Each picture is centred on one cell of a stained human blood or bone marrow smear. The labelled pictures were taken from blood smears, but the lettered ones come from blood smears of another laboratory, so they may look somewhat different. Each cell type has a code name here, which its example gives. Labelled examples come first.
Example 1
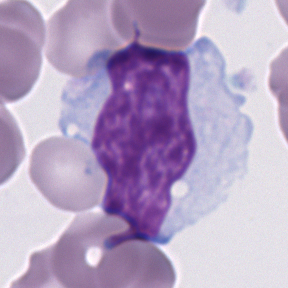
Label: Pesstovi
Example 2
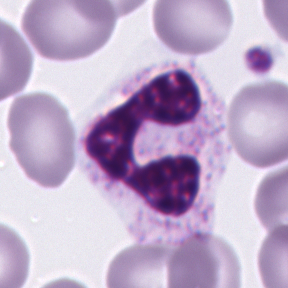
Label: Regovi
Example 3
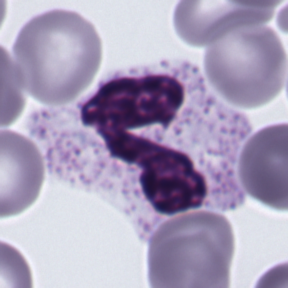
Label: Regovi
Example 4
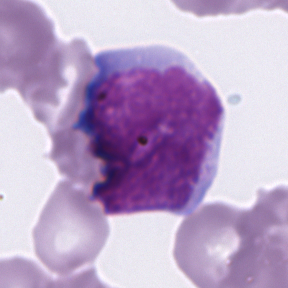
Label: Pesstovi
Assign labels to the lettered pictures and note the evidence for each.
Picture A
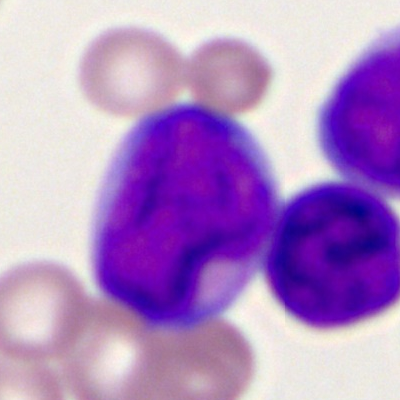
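Pesstovi. Evidence: The nucleus fills most of the cell.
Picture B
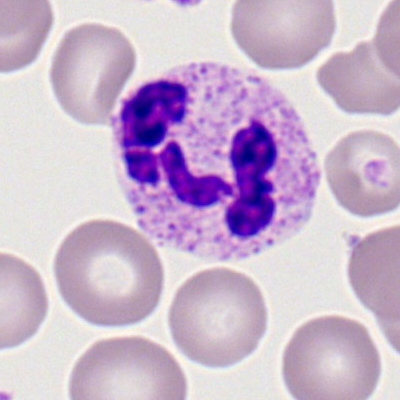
Regovi. Evidence: The cytoplasm is abundant and pale pinkish-lilac.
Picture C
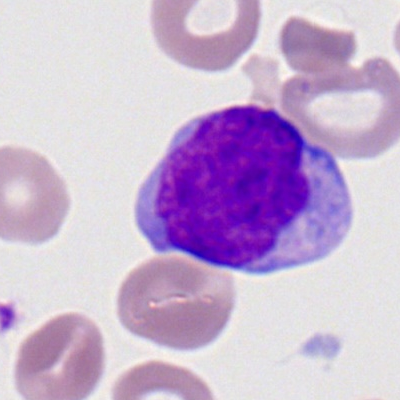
Pesstovi. Evidence: The nucleus fills most of the cell and sits toward the left side.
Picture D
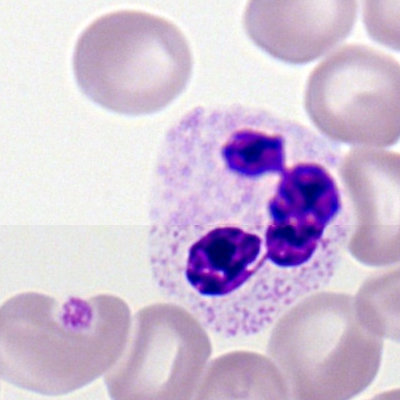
Regovi. Evidence: The cytoplasm is plentiful and pale pinkish.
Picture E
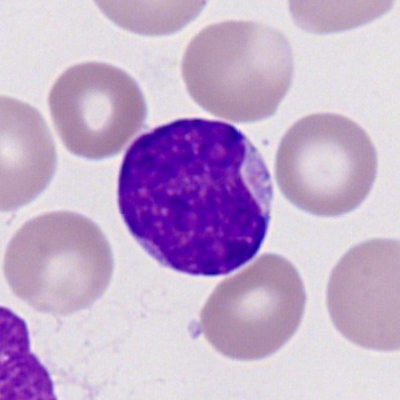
Pesstovi. Evidence: Only a scant amount of cytoplasm is visible, mostly as a crescent on the right.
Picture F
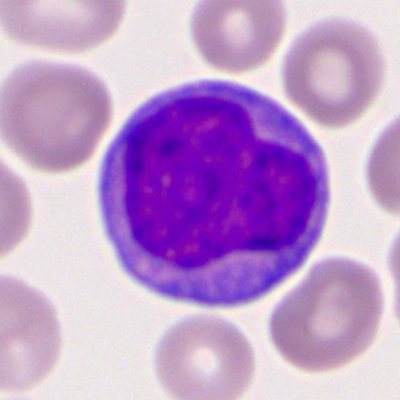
Pesstovi. Evidence: The nucleus fills most of the cell.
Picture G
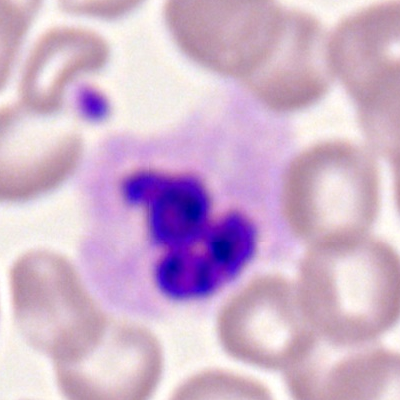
Regovi. Evidence: The cytoplasm is plentiful and pale pinkish-lilac.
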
